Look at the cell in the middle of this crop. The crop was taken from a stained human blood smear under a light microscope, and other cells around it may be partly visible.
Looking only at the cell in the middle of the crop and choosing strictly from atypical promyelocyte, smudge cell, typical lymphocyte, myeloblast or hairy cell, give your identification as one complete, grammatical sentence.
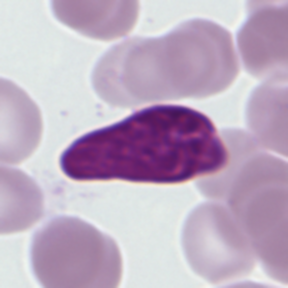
Here the centrally located cell is a smudge cell.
